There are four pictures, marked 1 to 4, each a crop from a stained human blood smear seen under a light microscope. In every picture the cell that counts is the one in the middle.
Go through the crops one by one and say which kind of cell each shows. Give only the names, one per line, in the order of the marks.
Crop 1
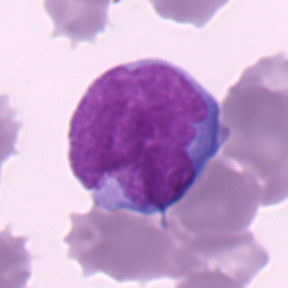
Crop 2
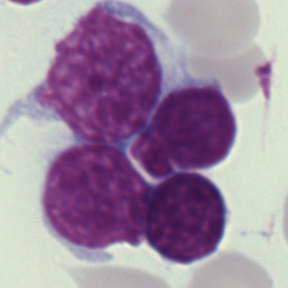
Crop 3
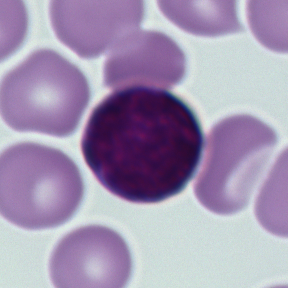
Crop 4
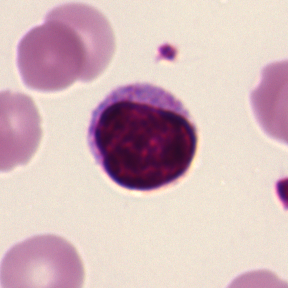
myeloblast
myeloblast
myeloblast
typical lymphocyte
